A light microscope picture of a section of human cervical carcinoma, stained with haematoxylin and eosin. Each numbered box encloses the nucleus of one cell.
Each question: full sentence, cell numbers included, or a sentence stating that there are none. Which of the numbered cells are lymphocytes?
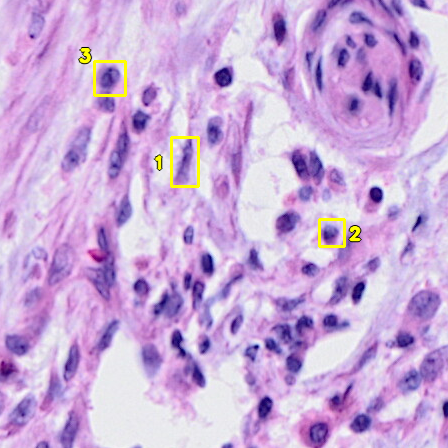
The cells marked 2 and 3 in the section are lymphocytes.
